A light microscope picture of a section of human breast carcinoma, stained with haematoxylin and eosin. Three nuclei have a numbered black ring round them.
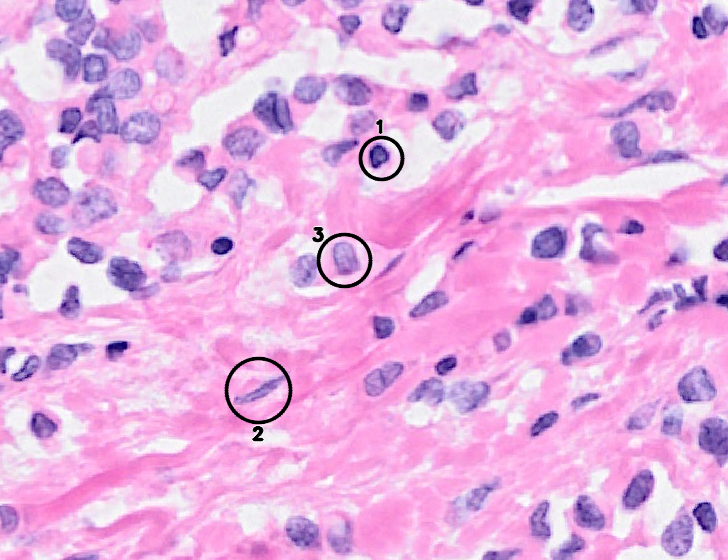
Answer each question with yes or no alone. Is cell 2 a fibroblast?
yes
